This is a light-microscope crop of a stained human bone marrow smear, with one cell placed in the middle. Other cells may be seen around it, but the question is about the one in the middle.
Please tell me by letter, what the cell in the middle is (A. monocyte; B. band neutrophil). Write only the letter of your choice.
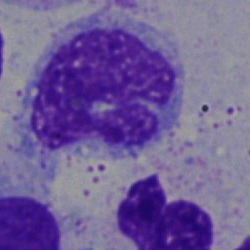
A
